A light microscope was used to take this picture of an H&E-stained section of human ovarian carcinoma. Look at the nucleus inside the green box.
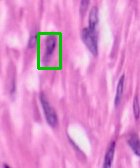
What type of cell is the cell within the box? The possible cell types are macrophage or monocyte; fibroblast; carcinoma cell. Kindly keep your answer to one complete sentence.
It is a fibroblast that the cell within the box represents.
